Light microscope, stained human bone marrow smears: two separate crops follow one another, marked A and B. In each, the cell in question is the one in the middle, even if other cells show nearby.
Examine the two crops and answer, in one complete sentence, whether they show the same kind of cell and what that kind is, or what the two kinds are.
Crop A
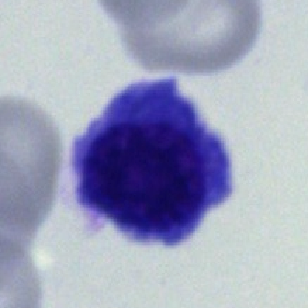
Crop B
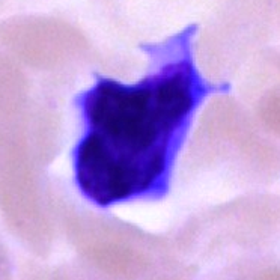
No, crop A matches an erythroblast and crop B matches a lymphocyte.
